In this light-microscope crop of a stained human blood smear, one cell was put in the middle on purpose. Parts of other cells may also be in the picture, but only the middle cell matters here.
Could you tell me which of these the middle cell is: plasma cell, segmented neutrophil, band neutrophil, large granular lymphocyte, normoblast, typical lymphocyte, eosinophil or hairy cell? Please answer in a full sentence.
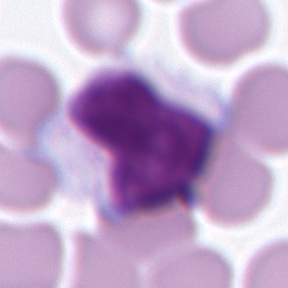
The cell at the heart of this crop is a typical lymphocyte.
